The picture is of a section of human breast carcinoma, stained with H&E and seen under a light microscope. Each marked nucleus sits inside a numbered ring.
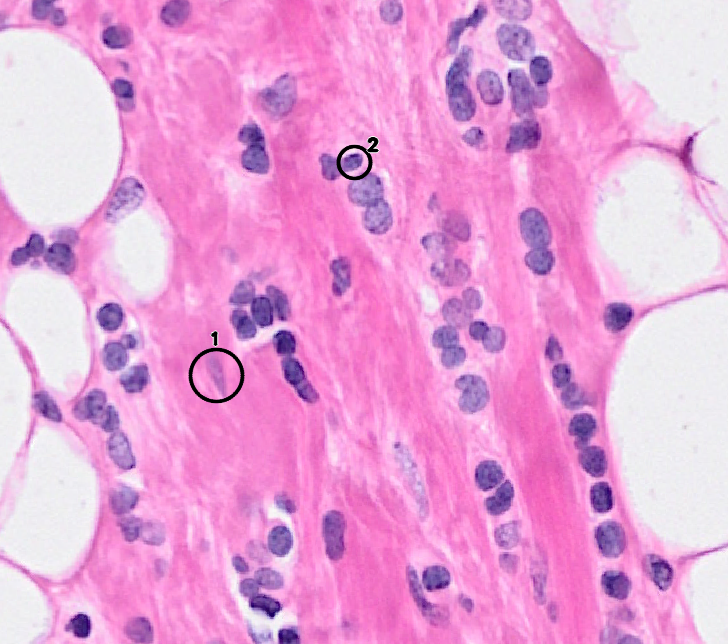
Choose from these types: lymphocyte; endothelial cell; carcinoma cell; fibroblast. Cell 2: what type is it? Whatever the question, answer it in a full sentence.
The cell with the number 2 is a lymphocyte.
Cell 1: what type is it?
The cell to which the number 1 is assigned is a fibroblast.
